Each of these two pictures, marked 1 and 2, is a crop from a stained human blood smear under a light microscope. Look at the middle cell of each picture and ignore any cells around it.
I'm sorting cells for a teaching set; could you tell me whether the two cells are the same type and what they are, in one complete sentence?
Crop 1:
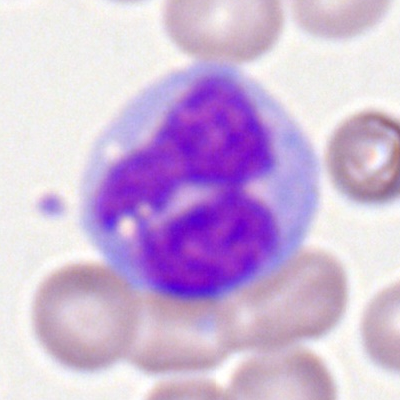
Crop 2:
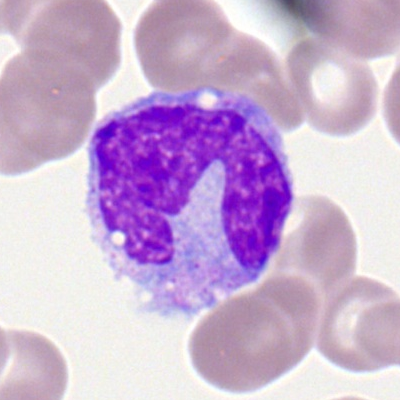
Yes, both crops feature monocytes at the centre.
